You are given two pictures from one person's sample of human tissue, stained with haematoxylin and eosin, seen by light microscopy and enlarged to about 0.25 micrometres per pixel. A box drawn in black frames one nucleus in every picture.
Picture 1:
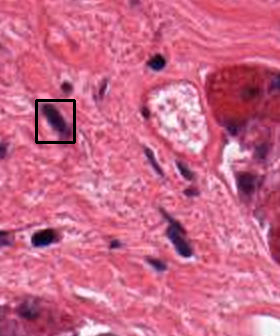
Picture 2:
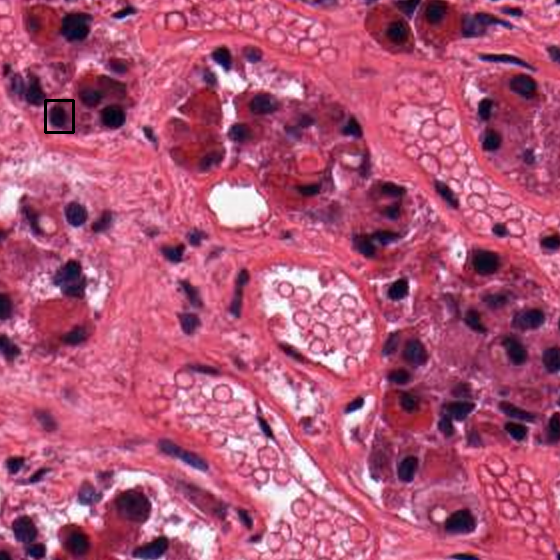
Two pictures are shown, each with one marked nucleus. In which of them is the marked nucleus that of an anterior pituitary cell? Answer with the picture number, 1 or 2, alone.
2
